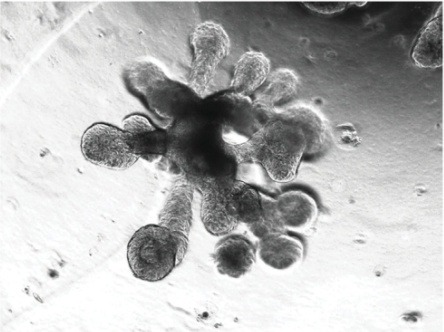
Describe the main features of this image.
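A multicellular epithelial structure with branches is shown. A dark, dense central mass gives rise to numerous finger-like buds radiating in several directions. The buds are of similar width and end in rounded, club-shaped tips, some appearing slightly translucent. The surrounding gel is otherwise largely empty.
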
